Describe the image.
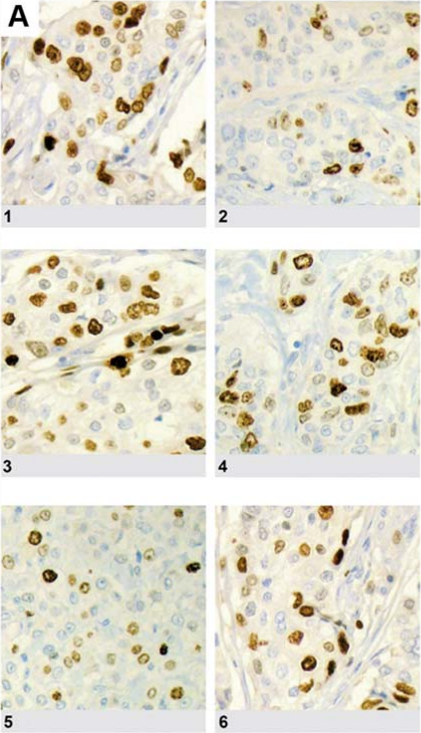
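Six fields of carcinoma with nests and cords of epithelial tumour cells having round to oval, moderately enlarged nuclei and pale cytoplasm, separated by thin strands of fibrous stroma with elongated spindle nuclei. Brown staining is confined to nuclei and ranges from intense dark brown through faint tan, while the remaining nuclei show only the blue counterstain.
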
